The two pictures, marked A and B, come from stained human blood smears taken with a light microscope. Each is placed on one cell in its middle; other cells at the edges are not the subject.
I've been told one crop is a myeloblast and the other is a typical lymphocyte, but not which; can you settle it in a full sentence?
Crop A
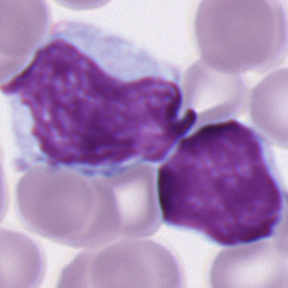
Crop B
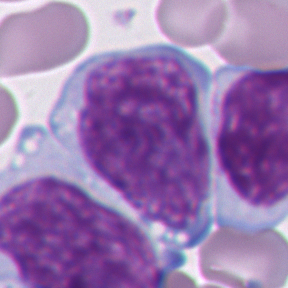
In crop A, a typical lymphocyte is present; in crop B, a myeloblast is present.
